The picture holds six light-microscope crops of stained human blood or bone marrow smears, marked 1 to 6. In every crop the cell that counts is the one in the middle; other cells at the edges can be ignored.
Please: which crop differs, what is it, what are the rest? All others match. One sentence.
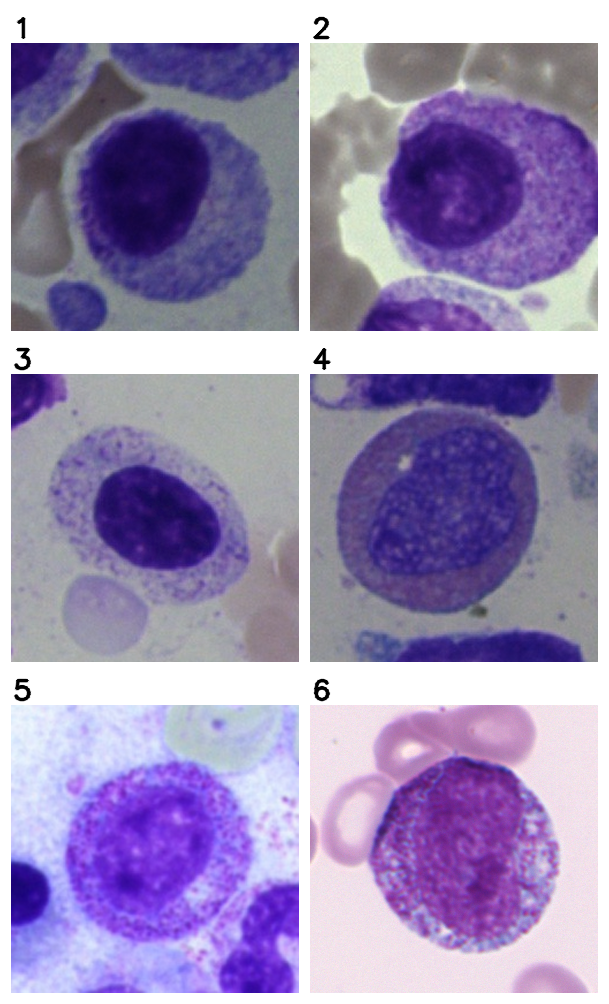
In this set the other crops all show myelocytes, and crop 4 shows an eosinophil.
